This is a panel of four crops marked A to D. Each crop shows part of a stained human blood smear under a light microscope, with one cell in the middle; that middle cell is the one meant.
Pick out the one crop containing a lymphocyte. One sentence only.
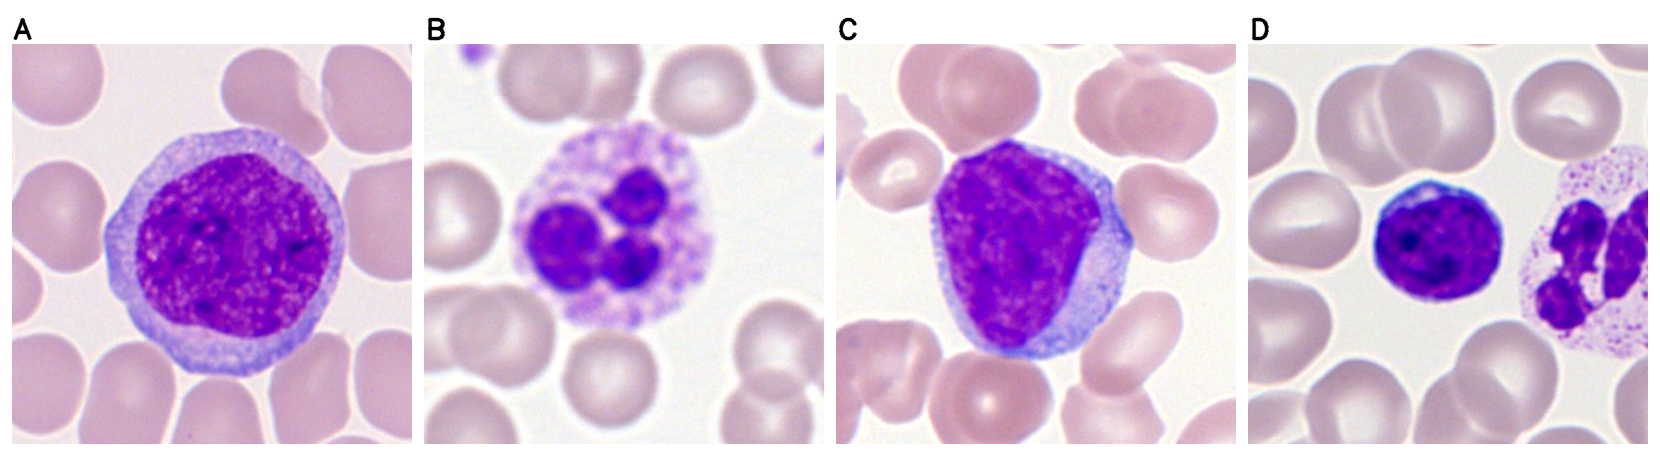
In the set of crops, crop D is the one that contains a lymphocyte.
